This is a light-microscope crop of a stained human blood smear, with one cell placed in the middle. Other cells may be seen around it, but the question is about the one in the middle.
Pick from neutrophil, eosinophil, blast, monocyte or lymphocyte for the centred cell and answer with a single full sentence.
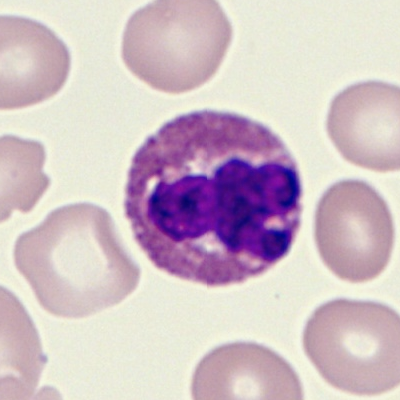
This crop's central cell is an eosinophil.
